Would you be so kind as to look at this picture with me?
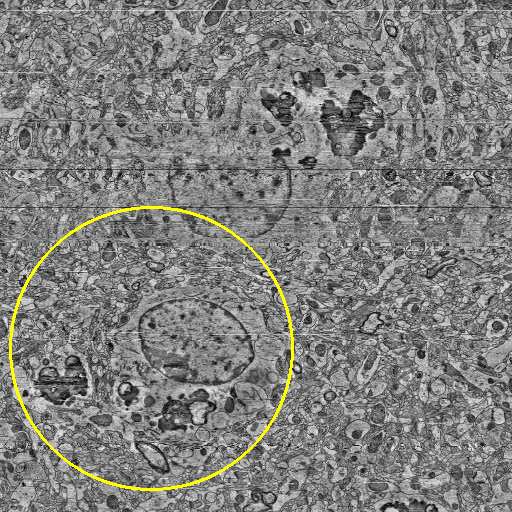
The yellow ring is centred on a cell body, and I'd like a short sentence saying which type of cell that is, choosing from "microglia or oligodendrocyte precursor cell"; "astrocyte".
The cell body in the ring belongs to an astrocyte.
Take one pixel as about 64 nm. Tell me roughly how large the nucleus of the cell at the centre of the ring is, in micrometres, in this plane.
The nucleus comes to roughly 8 by 6 micrometres in this plane.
